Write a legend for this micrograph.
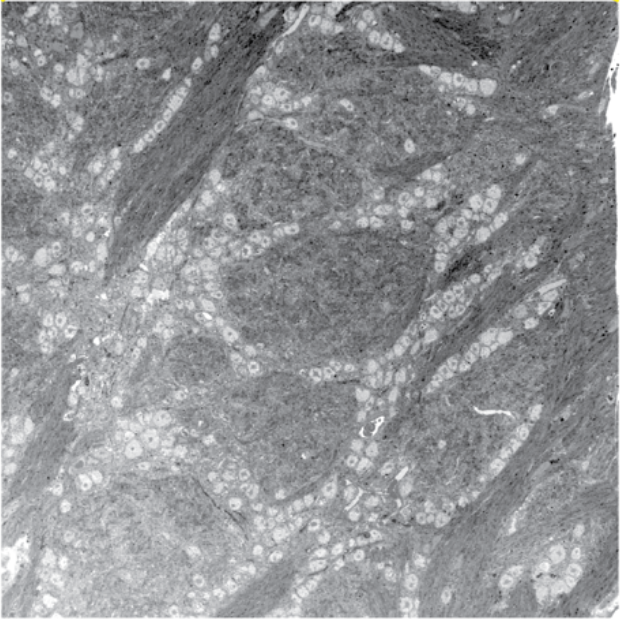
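This low-magnification electron micrograph of olfactory bulb tissue shows several large, rounded to oval territories of fine-grained, dark neuropil. Narrow bands of small, round, pale cell bodies surround and separate these territories. Bundles of parallel fibres run diagonally across the field, most clearly at the upper left, where they form streaked, darker tracts. The tissue is densely packed, and there are few spaces between its parts.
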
